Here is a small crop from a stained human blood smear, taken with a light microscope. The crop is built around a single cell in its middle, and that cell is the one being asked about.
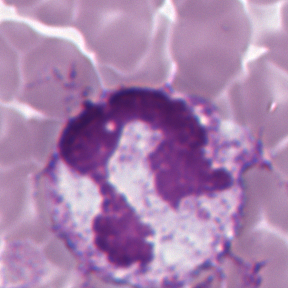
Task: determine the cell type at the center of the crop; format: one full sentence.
The cell found in the middle of this crop is a neutrophil.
